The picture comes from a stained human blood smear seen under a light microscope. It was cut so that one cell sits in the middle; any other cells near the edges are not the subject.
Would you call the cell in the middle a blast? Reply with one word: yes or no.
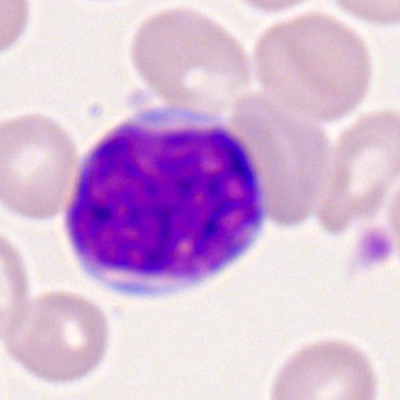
yes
